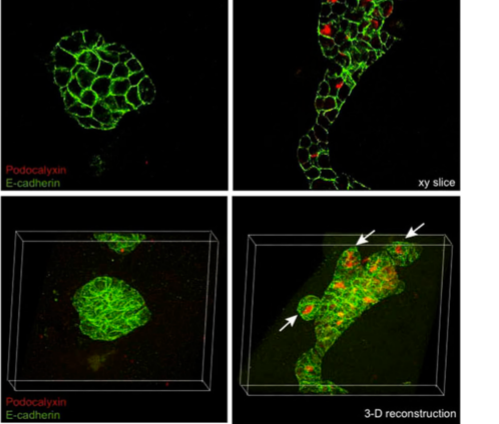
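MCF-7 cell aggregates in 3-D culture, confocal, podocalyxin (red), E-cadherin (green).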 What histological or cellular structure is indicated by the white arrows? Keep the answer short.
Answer: bud-like structures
